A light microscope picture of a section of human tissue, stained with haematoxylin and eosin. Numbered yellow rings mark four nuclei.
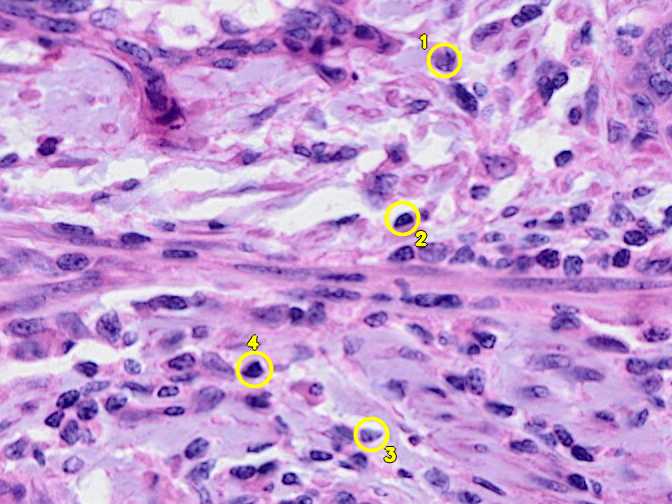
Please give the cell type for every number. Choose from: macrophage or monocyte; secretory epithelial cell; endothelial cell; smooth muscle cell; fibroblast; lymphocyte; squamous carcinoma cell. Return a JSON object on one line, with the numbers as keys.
{"1": "macrophage or monocyte", "2": "lymphocyte", "3": "lymphocyte", "4": "lymphocyte"}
